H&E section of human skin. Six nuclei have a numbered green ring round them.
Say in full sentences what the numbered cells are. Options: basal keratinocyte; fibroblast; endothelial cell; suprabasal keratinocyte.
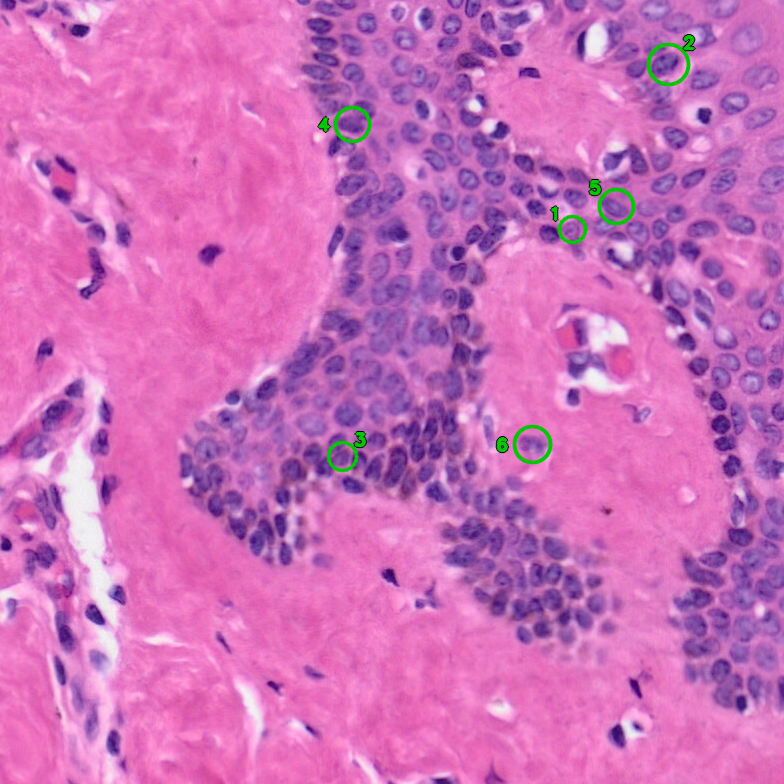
Cells 1, 2, 3 and 4 are basal keratinocytes. Cell 5 is a suprabasal keratinocyte. Cell 6 is a fibroblast.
